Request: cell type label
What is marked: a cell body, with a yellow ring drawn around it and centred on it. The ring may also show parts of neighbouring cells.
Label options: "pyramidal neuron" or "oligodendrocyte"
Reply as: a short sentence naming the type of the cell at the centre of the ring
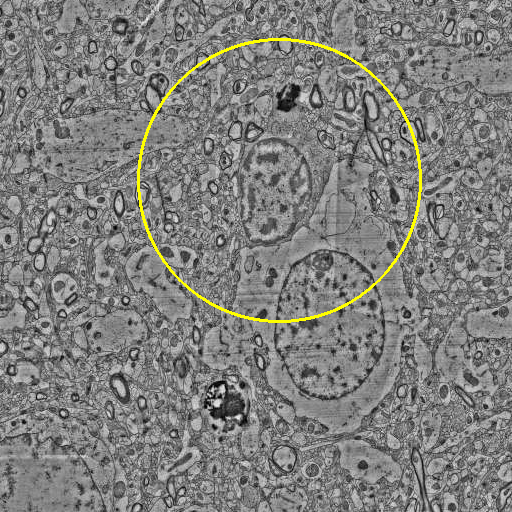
The marked cell body is that of an oligodendrocyte.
